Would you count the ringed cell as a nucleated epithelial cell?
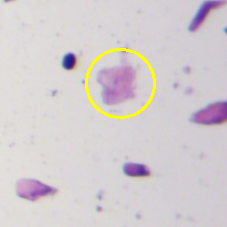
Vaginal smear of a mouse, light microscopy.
No, I would count it as a cornified epithelial cell.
